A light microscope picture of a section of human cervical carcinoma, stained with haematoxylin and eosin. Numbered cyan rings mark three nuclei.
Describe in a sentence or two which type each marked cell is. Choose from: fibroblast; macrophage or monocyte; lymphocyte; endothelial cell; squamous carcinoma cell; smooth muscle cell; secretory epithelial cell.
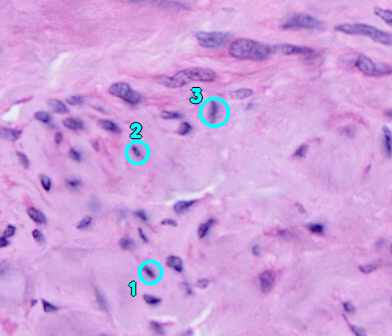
Cells 1 and 3 are fibroblasts. Cell 2 is a smooth muscle cell.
